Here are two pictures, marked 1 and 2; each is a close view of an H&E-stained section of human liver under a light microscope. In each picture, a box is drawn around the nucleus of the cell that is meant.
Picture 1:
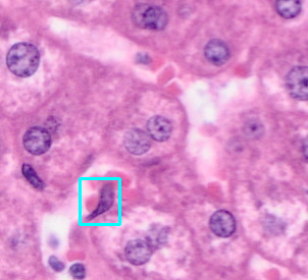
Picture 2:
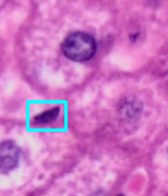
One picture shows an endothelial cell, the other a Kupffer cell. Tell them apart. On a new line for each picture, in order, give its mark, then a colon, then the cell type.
1: Kupffer cell
2: endothelial cell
